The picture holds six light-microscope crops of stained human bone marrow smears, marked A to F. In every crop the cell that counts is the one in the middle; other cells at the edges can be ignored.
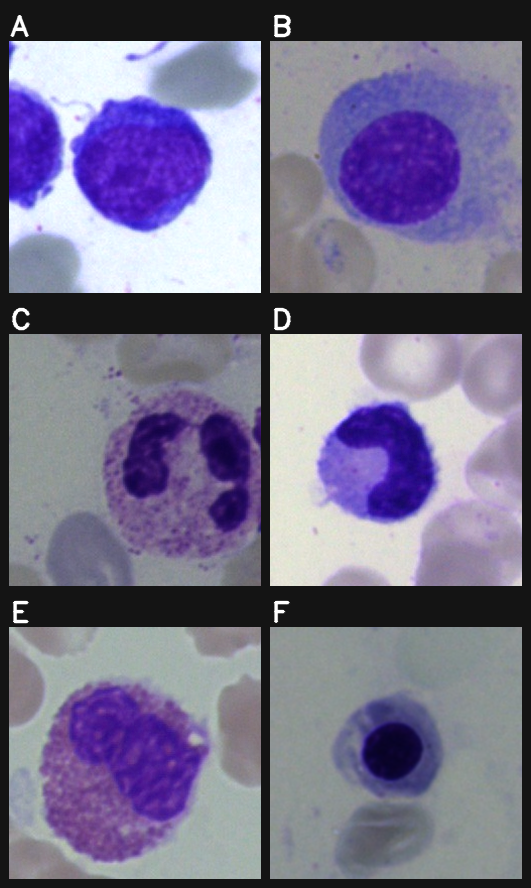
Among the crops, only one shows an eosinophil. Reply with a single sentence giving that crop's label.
Crop E, and no other, is the one that shows an eosinophil.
